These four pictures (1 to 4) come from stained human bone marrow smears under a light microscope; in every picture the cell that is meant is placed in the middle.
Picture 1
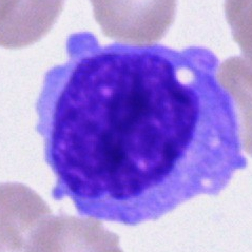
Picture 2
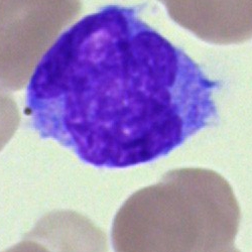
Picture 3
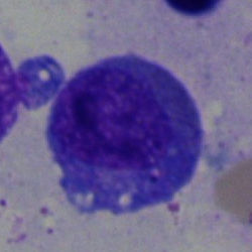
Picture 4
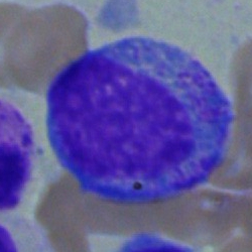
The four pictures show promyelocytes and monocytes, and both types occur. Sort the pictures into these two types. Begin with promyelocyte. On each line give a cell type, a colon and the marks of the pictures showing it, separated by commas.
promyelocyte: 3, 4
monocyte: 1, 2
